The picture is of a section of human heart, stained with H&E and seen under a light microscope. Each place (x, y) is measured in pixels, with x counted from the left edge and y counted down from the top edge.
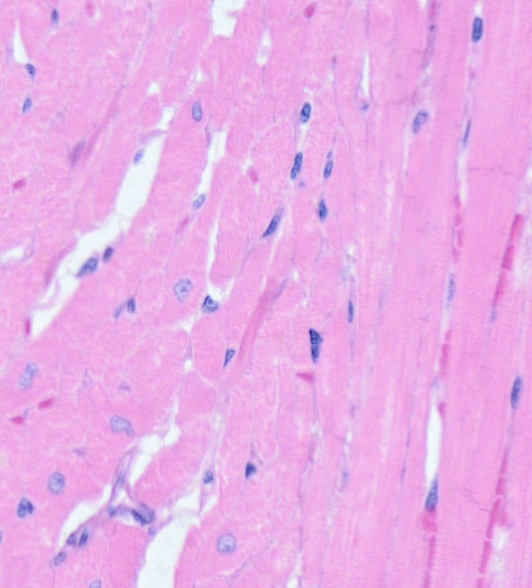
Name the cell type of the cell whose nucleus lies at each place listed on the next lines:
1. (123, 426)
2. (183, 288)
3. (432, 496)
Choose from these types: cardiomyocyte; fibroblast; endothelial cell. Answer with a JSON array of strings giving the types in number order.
["cardiomyocyte", "cardiomyocyte", "endothelial cell"]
